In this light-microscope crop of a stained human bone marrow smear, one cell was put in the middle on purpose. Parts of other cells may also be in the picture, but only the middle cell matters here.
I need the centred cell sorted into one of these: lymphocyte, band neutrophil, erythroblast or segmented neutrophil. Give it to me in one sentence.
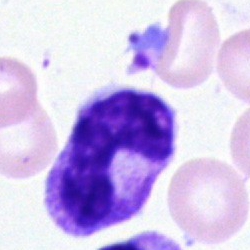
The cell at the centre of the field is a band neutrophil.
